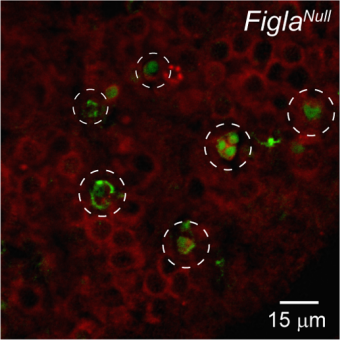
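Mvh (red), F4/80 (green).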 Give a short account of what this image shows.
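Small, irregular green cells also sit between the healthy oocytes, some with short processes. The degrading cells are spread across the field rather than gathered in one spot.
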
